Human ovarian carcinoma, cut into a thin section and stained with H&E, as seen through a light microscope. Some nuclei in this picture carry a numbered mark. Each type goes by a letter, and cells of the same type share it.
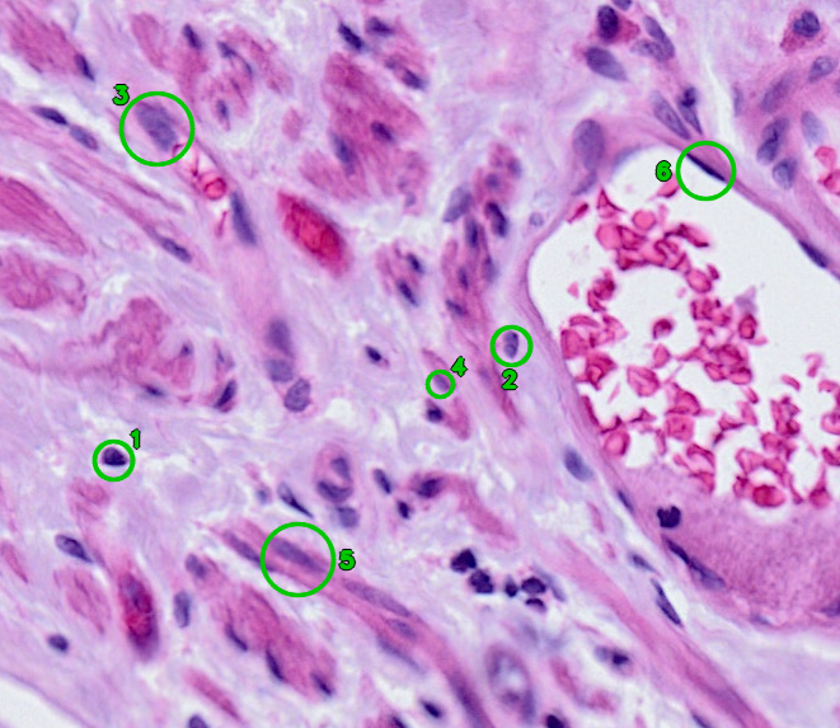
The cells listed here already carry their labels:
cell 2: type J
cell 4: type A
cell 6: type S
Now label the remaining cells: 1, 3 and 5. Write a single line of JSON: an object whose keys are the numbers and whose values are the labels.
{"1": "type J", "3": "type S", "5": "type A"}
